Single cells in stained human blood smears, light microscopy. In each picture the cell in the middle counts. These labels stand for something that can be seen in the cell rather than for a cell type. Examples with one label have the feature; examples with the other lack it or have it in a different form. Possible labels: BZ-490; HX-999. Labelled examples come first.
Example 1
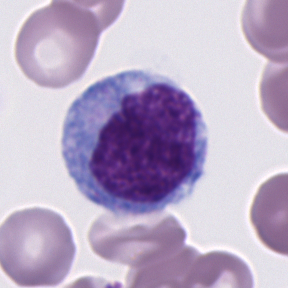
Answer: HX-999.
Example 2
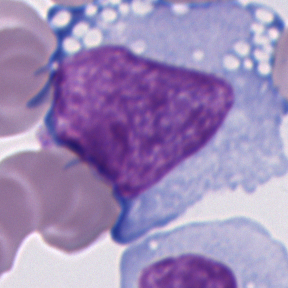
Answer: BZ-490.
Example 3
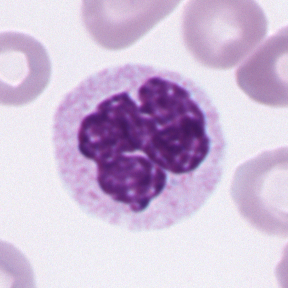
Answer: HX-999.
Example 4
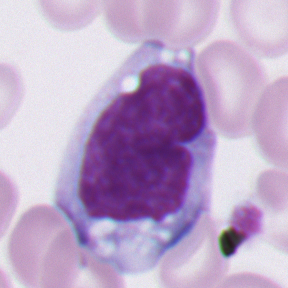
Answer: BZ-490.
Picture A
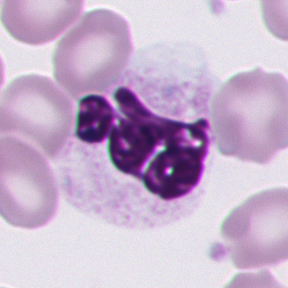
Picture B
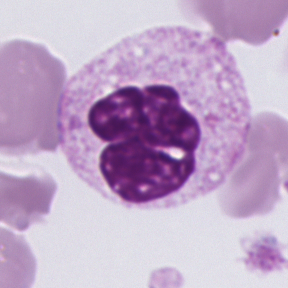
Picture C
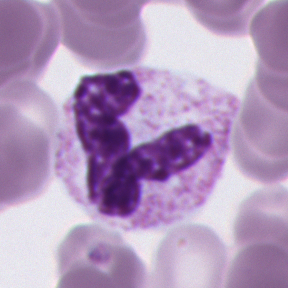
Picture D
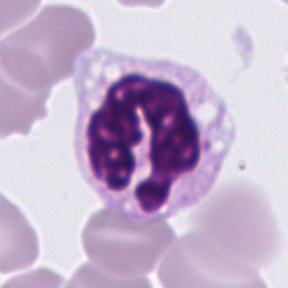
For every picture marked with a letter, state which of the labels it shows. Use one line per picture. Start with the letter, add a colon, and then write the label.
A: HX-999.
B: BZ-490.
C: HX-999.
D: BZ-490.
